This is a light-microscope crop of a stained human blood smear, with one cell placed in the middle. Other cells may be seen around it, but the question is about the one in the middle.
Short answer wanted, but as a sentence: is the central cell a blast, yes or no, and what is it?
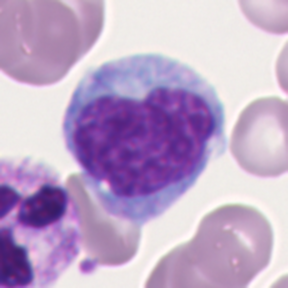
No, it is not a blast that lies in the middle but a monocyte.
